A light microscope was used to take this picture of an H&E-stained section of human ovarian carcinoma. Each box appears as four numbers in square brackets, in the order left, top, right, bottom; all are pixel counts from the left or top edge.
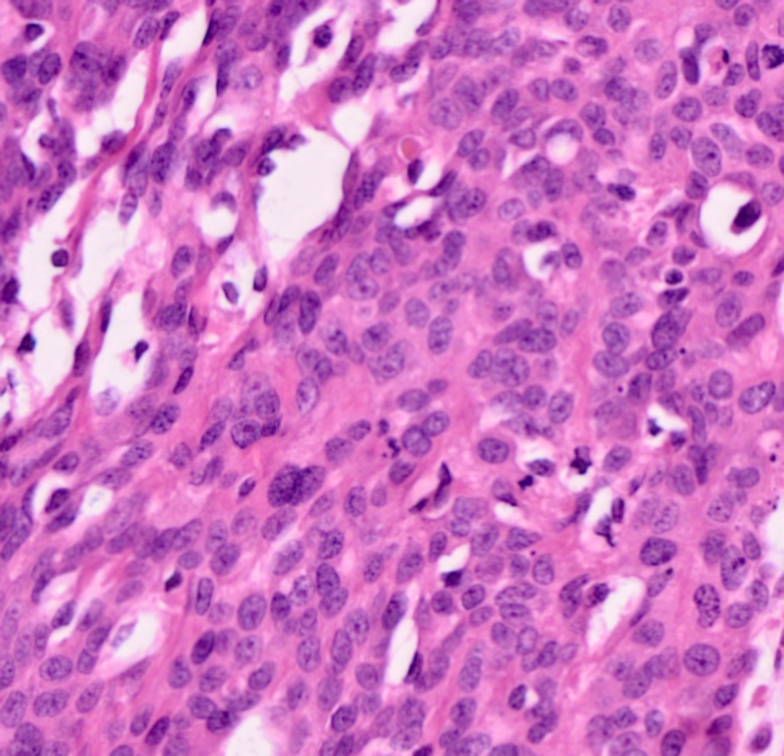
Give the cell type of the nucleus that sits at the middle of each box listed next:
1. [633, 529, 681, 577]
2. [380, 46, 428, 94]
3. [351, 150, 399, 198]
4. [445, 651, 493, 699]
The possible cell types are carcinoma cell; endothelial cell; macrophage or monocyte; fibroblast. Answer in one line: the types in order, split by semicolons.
carcinoma cell; macrophage or monocyte; carcinoma cell; carcinoma cell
